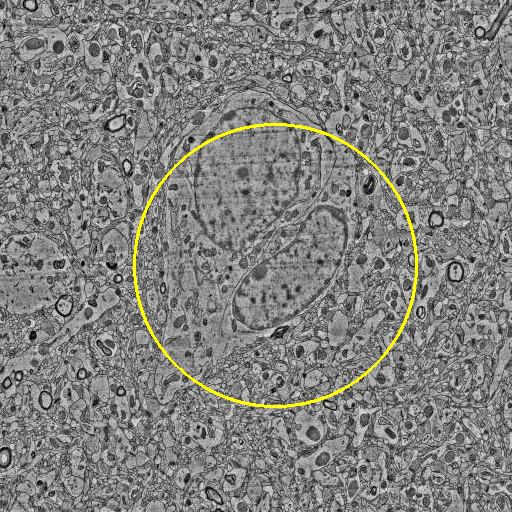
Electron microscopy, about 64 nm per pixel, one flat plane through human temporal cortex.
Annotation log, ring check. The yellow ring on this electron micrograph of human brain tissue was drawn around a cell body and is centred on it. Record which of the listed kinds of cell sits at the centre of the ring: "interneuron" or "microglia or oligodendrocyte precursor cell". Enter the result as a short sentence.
The cell at the centre of the ring is a microglial cell or oligodendrocyte precursor cell.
